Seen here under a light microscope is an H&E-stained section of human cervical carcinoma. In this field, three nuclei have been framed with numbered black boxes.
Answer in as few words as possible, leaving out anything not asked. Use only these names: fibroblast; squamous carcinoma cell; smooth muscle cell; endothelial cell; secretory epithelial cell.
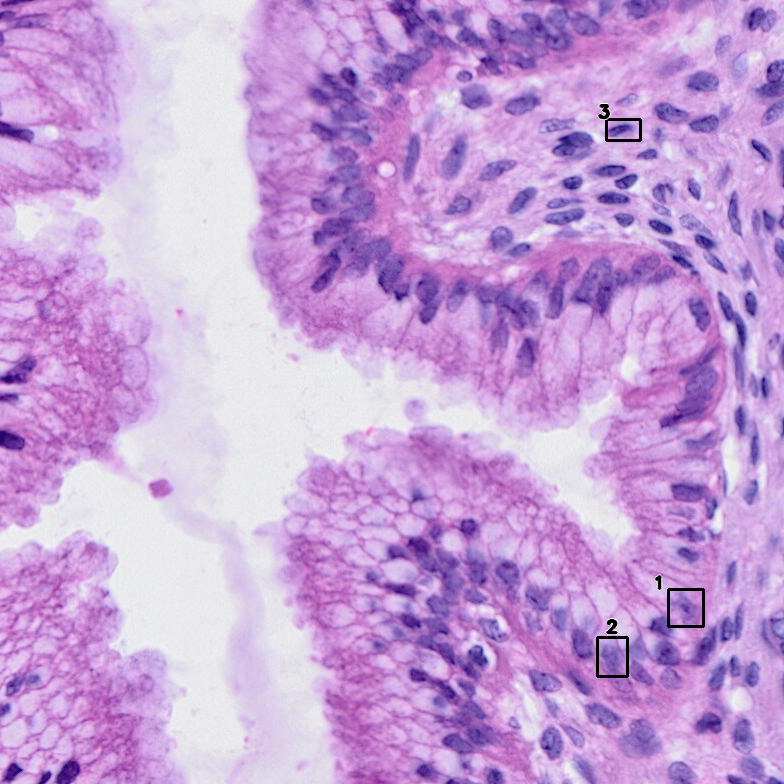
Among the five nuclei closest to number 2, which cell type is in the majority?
secretory epithelial cell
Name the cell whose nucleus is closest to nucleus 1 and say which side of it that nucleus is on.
a secretory epithelial cell; below and to the left of nucleus 1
